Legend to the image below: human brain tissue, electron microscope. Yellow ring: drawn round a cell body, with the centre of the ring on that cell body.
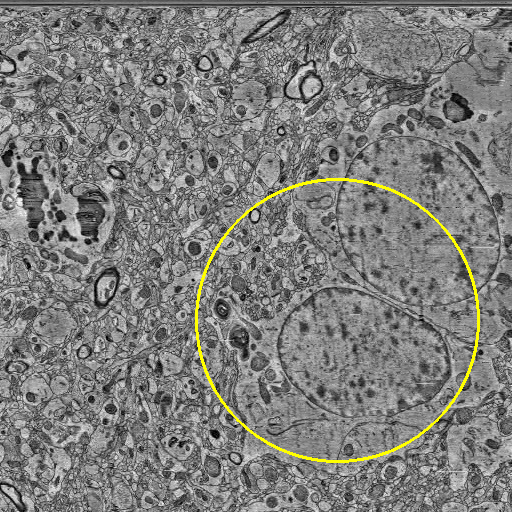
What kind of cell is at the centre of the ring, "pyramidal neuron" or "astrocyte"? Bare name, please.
astrocyte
